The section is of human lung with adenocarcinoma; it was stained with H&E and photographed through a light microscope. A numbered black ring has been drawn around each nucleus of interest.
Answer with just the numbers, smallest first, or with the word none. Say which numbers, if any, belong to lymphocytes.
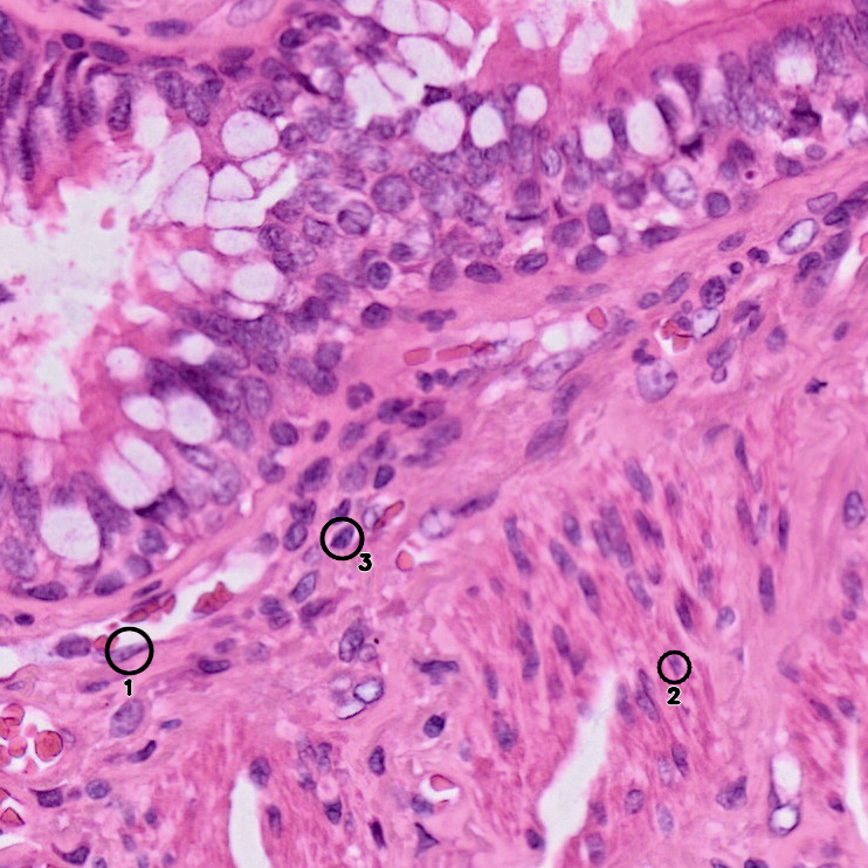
3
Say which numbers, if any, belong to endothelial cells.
1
